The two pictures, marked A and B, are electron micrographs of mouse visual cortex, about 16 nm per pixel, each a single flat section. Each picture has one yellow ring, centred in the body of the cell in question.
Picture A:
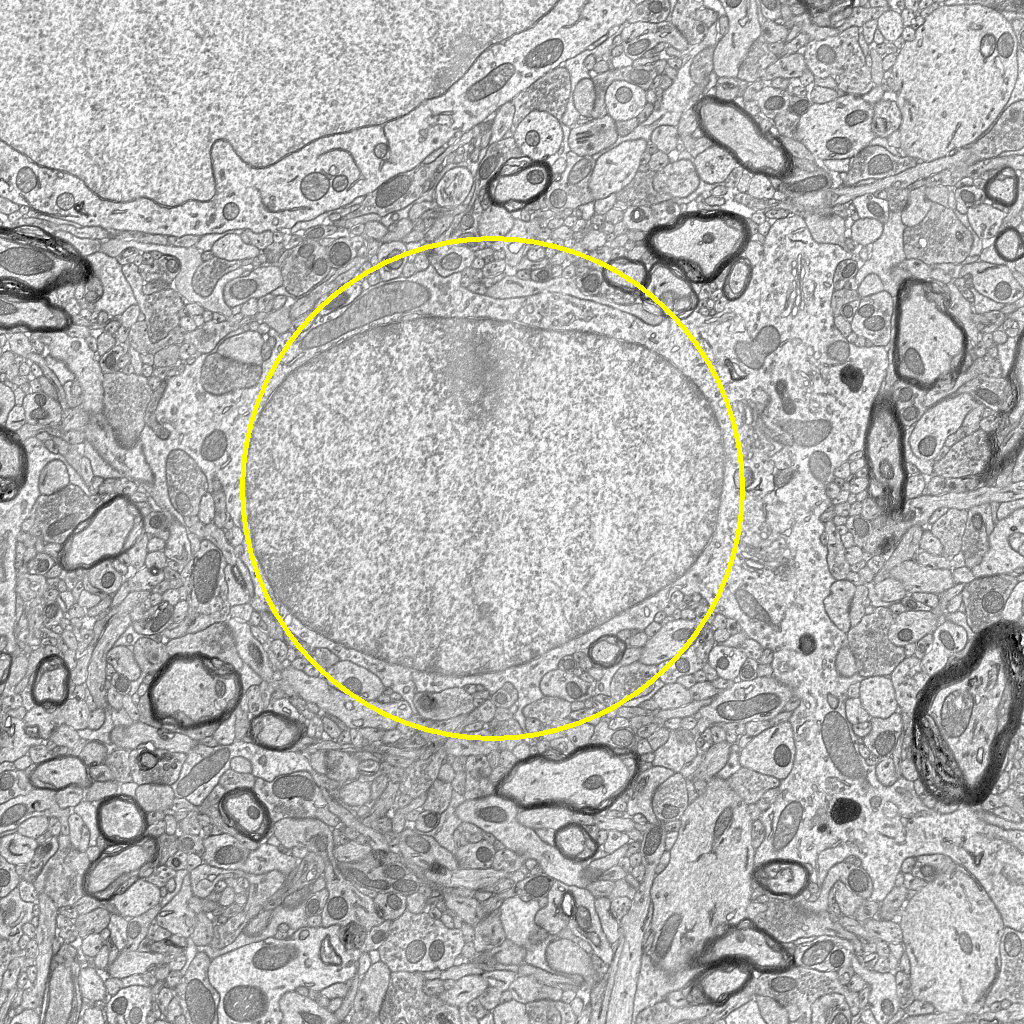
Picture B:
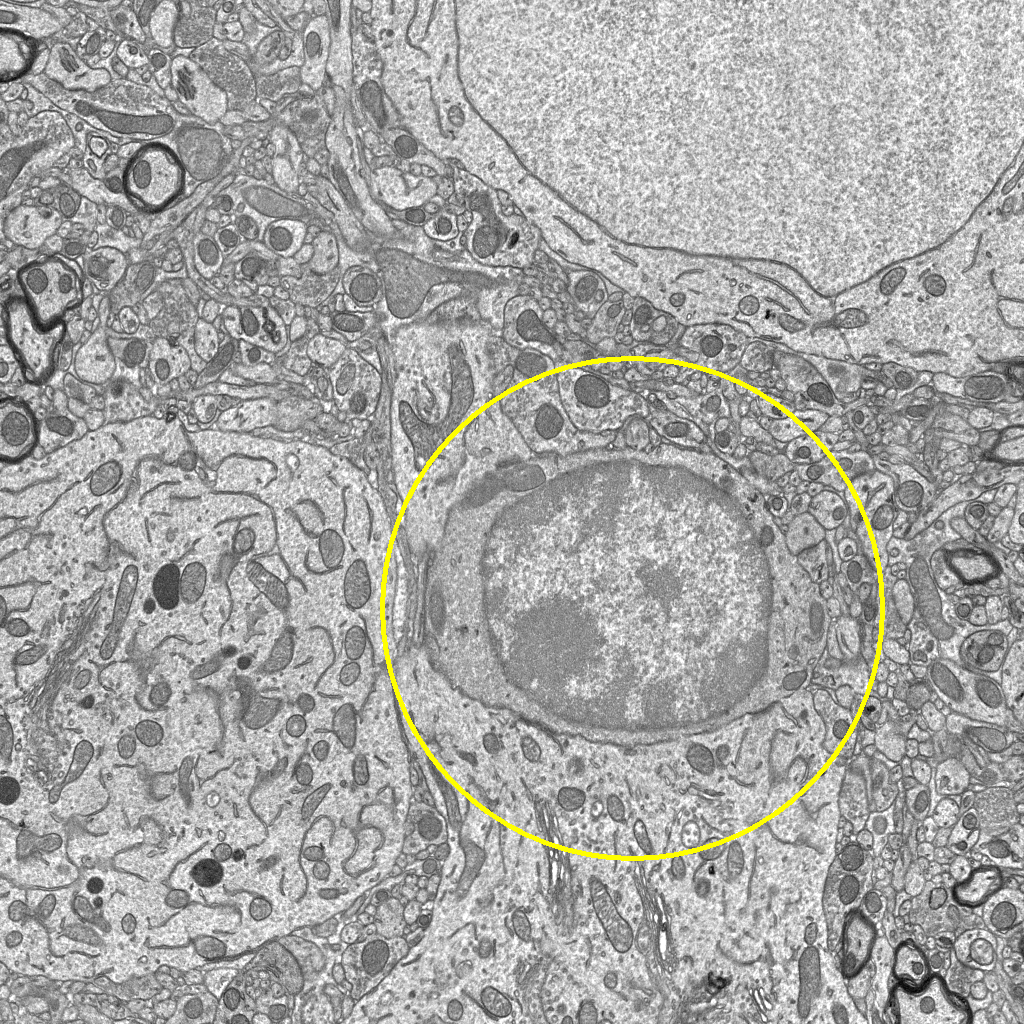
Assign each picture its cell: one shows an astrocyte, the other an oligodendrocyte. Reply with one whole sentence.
Picture B shows an oligodendrocyte, while picture A shows an astrocyte.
